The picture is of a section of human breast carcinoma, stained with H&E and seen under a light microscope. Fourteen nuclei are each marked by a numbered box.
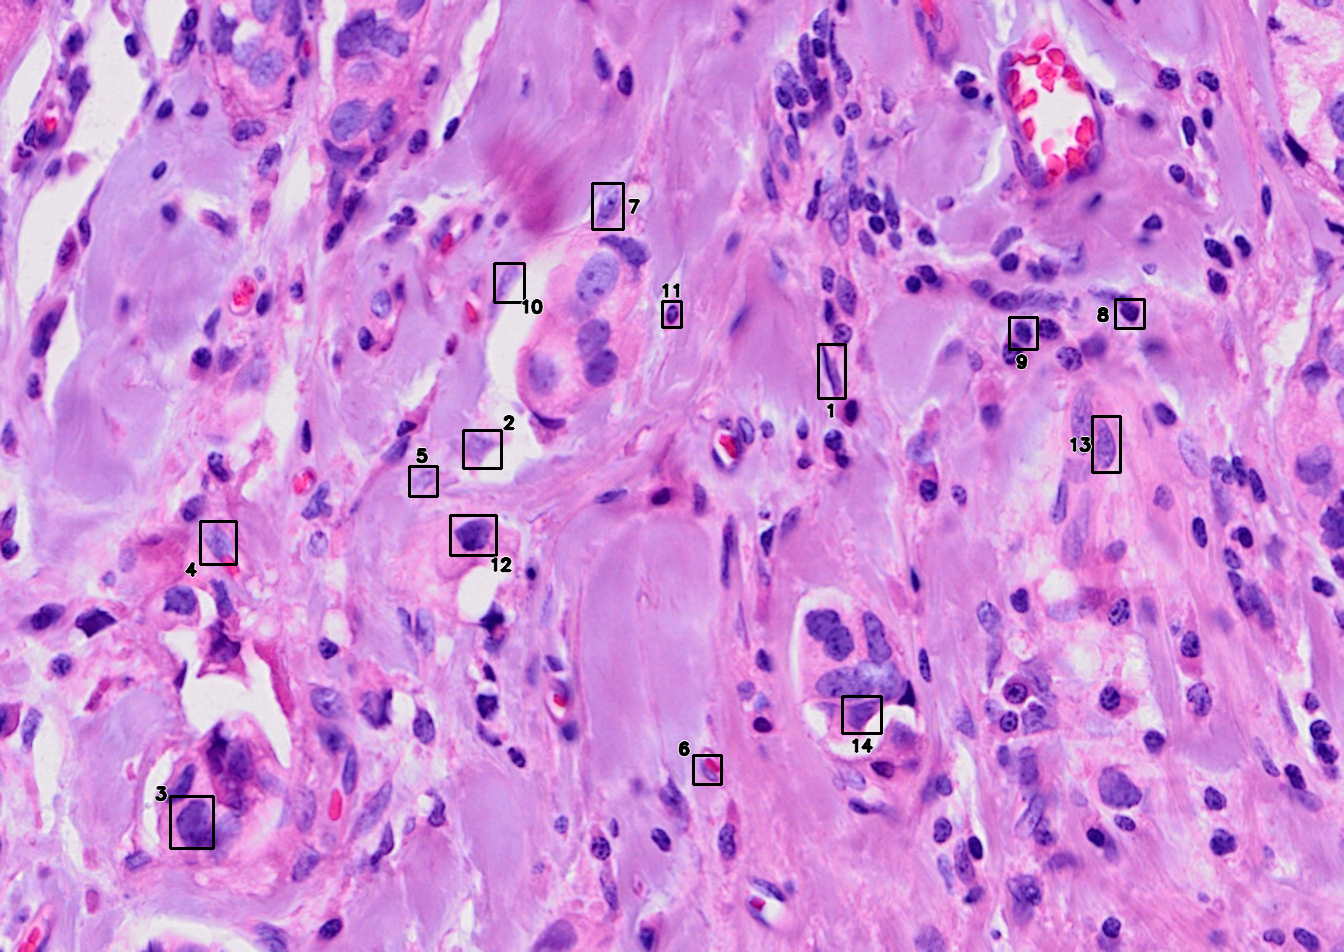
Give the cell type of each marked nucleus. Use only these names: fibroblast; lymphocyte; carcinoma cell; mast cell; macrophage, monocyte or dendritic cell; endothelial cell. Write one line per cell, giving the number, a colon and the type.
1: fibroblast
2: fibroblast
3: carcinoma cell
4: endothelial cell
5: fibroblast
6: endothelial cell
7: fibroblast
8: lymphocyte
9: lymphocyte
10: fibroblast
11: mast cell
12: carcinoma cell
13: endothelial cell
14: carcinoma cell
